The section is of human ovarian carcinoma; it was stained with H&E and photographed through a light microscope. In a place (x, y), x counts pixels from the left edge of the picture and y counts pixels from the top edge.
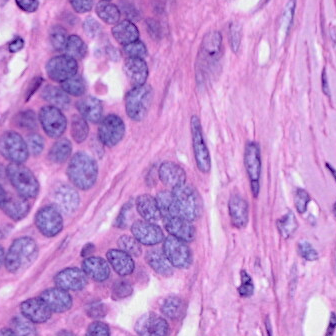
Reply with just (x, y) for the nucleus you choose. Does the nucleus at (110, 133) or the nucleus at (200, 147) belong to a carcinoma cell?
(110, 133)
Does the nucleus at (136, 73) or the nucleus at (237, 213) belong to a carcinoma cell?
(136, 73)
